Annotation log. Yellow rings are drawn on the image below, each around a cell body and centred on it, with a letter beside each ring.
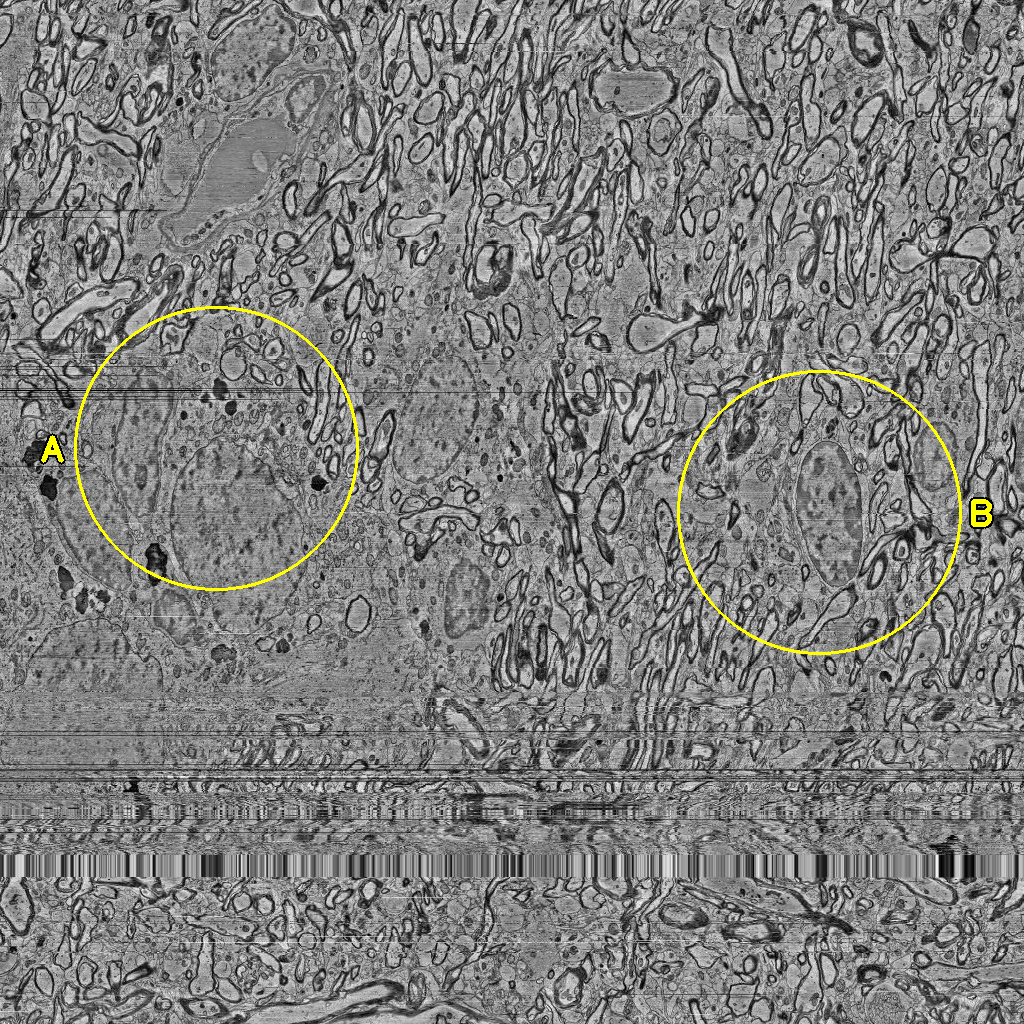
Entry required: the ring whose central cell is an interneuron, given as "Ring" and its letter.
Ring A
